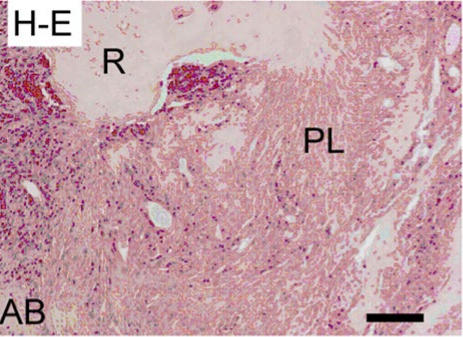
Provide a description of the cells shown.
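A pale, nearly acellular hard tissue sits at the top, with a fibrous soft tissue pressed against its lower edge and a strip of red blood cells within a notch of it. Toward the lower left, the tissue becomes more cellular and reddish where it approaches the bone. This is the pale root of a tooth above a fibrous periapical lesion bordered by alveolar bone.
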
